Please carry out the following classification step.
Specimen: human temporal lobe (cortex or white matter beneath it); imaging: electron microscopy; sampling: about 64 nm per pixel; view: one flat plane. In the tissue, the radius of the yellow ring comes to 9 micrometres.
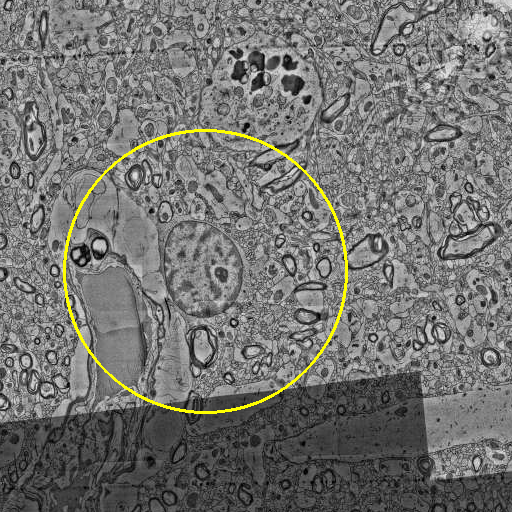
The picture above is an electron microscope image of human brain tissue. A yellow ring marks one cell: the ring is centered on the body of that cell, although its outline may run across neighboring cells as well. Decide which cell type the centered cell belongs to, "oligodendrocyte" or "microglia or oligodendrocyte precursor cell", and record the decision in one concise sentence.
The cell centered in the yellow ring is an oligodendrocyte.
